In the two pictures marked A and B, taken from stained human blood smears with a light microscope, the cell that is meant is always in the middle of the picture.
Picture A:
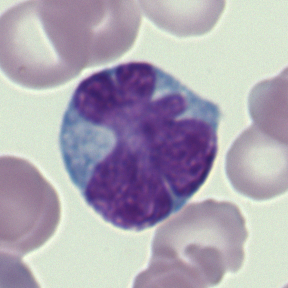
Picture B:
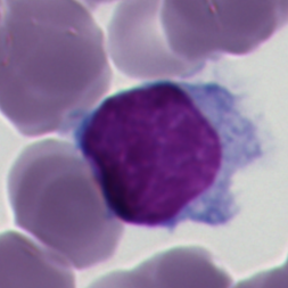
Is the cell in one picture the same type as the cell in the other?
no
